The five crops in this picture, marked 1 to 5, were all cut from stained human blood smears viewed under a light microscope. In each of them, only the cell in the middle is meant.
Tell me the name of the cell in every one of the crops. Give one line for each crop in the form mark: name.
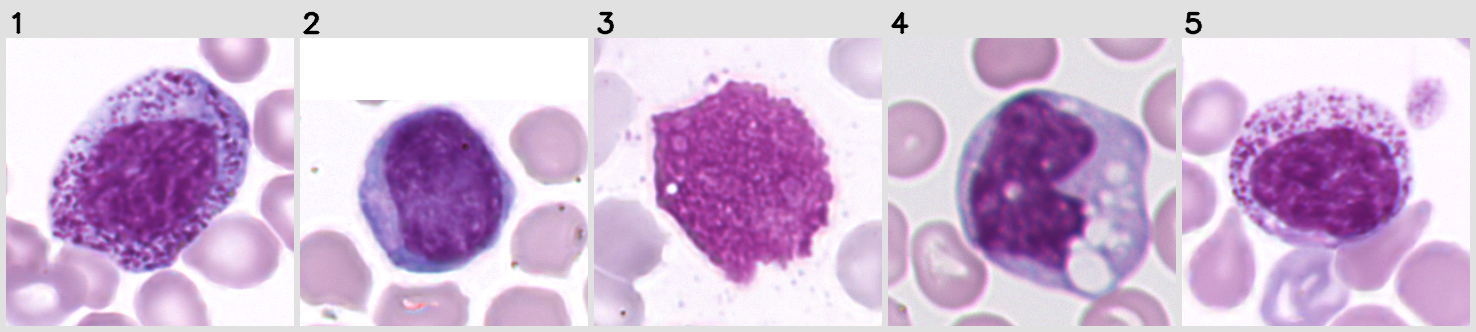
1: promyelocyte
2: plasma cell
3: smudge cell
4: monocyte
5: metamyelocyte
